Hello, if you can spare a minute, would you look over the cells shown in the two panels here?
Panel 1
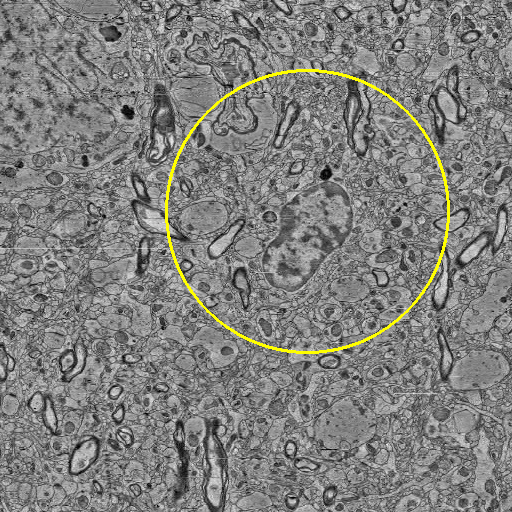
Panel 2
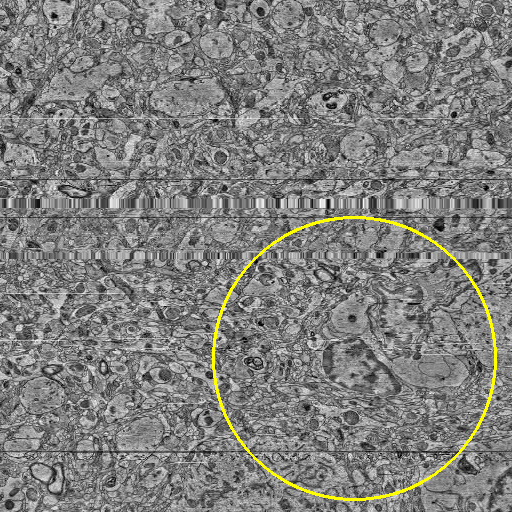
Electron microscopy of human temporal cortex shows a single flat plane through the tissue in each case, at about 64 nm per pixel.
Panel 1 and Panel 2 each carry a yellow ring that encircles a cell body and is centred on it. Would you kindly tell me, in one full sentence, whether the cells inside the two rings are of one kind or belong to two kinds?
The cells at the centres of the rings in Panel 1 and Panel 2 are of one kind.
